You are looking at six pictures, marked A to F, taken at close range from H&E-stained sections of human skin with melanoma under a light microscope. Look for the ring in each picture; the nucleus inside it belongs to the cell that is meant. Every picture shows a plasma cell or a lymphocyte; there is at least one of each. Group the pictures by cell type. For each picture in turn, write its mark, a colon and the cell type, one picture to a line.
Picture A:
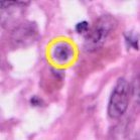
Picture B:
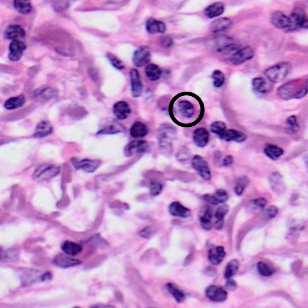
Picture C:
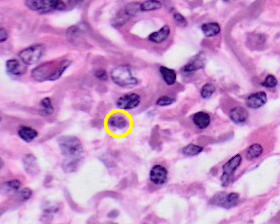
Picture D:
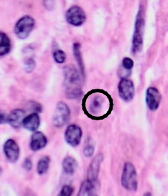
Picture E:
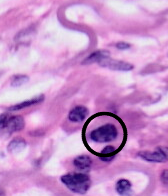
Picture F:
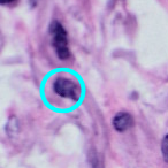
A: lymphocyte
B: plasma cell
C: plasma cell
D: lymphocyte
E: plasma cell
F: plasma cell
